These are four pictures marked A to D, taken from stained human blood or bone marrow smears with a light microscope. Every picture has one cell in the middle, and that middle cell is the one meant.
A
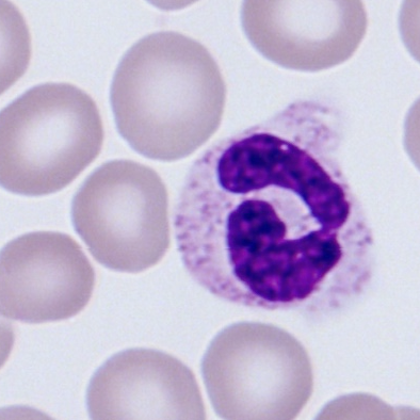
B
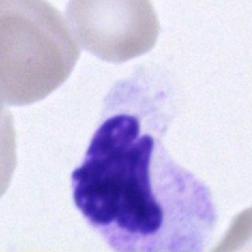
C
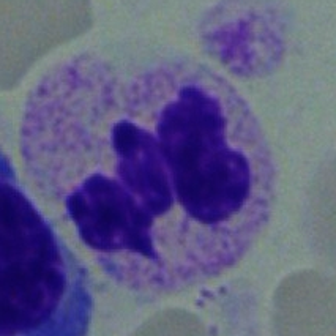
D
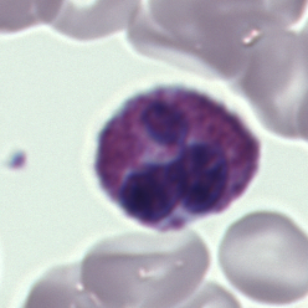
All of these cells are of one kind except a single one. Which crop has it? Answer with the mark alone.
D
